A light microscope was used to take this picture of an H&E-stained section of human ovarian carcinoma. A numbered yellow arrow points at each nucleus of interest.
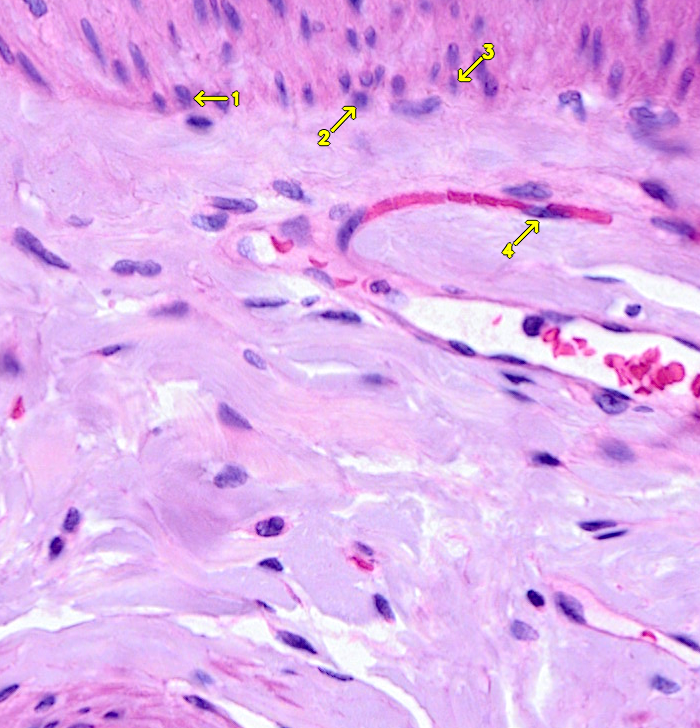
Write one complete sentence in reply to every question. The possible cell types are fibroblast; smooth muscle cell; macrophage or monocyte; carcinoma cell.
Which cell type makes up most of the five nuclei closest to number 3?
Of the five nuclei nearest to number 3, most belong to smooth muscle cells.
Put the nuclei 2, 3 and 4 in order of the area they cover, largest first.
By area, largest first, they run 4, 2, 3.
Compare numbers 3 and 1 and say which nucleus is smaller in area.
Nucleus 3 is the smaller one; nucleus 1 covers about 2 times its area.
